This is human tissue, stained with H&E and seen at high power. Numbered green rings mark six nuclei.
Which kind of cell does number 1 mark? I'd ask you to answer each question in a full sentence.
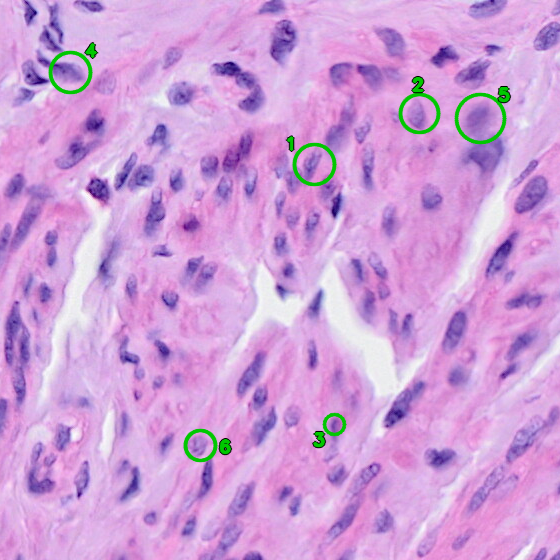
The cell given label 1 is a smooth muscle cell.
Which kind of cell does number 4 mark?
The cell identified by the number 4 is a fibroblast.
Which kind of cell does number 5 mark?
Among the marked nuclei, number 5 belongs to a fibroblast.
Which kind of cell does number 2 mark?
The cell referenced by the number 2 is a smooth muscle cell in this field.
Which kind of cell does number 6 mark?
The cell referred to as 6 is a smooth muscle cell.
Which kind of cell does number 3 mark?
Recognised here as a smooth muscle cell is the cell numbered 3.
